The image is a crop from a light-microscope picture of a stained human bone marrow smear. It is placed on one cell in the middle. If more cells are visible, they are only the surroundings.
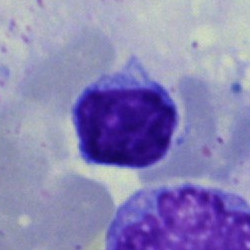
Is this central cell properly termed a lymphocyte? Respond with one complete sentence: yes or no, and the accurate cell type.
Yes, the cell positioned in the middle is a lymphocyte.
